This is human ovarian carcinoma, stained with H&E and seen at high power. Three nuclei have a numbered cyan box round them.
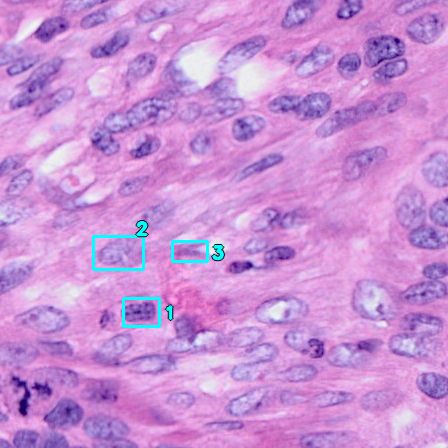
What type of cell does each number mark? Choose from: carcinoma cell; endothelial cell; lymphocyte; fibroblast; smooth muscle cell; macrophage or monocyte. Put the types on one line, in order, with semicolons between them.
macrophage or monocyte; fibroblast; fibroblast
